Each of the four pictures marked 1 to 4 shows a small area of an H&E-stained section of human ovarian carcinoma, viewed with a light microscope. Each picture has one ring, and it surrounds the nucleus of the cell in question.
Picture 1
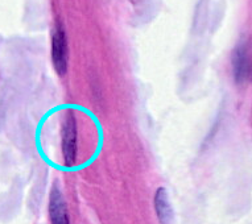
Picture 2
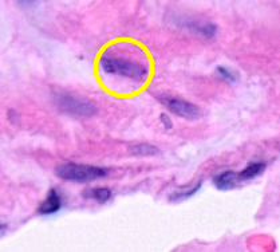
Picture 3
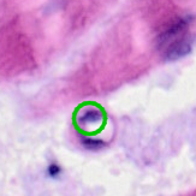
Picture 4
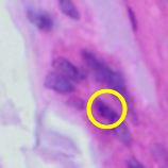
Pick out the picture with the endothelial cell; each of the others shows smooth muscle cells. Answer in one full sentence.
The cell in picture 3 is the endothelial cell.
